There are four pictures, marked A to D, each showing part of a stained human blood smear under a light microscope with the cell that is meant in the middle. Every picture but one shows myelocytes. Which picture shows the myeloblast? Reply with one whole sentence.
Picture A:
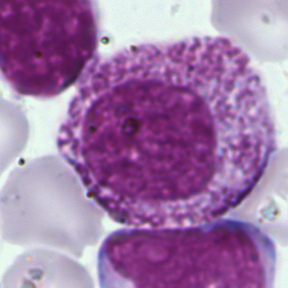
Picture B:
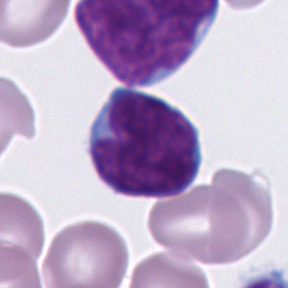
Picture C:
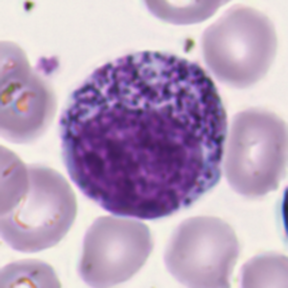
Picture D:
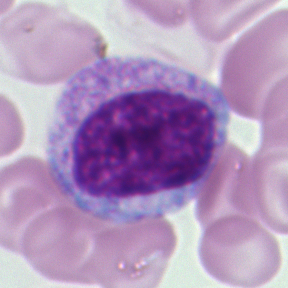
Picture B is the one that shows the myeloblast.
